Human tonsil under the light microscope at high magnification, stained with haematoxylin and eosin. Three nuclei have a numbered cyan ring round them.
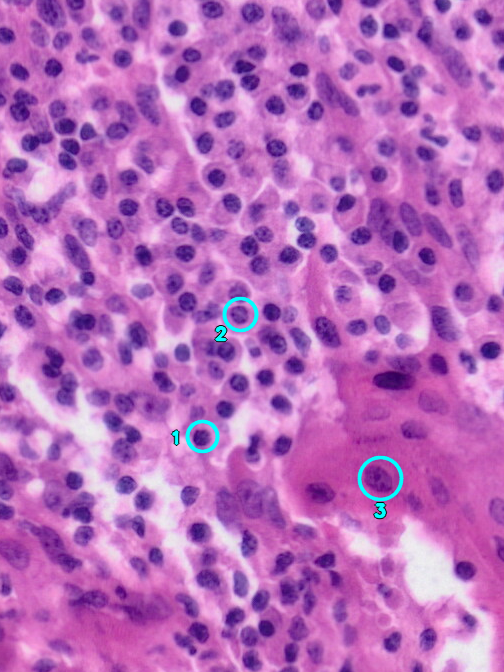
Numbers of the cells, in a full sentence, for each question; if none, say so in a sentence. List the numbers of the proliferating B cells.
Identified by number, the marked cells include no proliferating B cells.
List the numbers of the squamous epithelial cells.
The sole numbered cell that is a squamous epithelial cell is cell 3.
